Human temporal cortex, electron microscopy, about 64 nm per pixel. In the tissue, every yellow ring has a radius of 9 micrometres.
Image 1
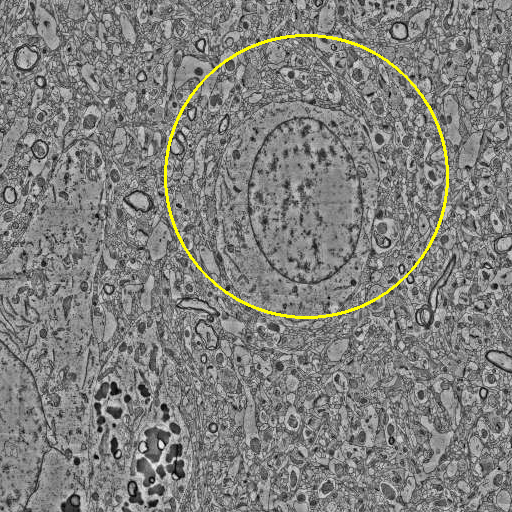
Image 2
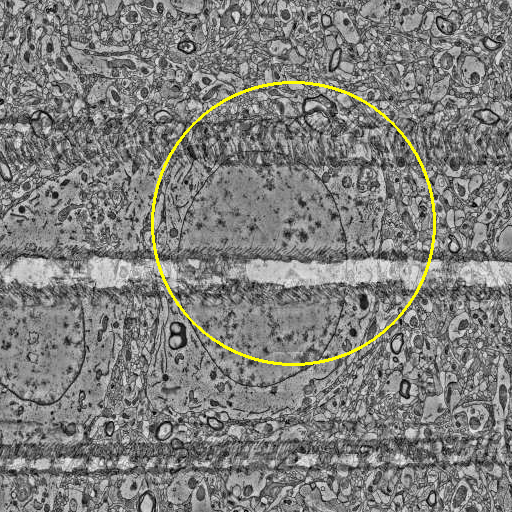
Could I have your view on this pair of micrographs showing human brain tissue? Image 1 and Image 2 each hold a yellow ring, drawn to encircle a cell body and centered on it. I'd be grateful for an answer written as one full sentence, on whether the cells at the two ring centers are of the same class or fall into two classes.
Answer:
The cells at the centers of the two rings are of the same class.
